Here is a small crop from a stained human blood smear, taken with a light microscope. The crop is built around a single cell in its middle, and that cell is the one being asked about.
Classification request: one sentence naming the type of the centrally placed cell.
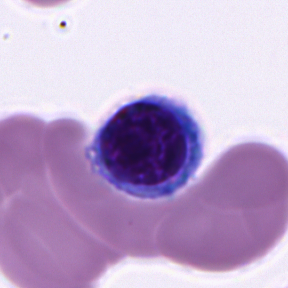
As for the central cell, it is a plasma cell.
